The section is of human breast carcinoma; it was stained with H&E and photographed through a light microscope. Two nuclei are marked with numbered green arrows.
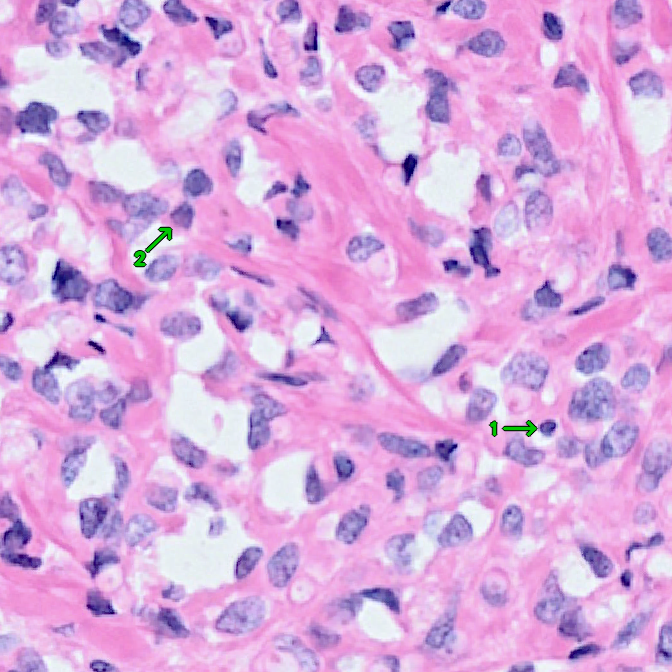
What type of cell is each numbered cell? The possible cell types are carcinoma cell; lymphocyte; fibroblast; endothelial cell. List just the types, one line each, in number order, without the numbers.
lymphocyte
carcinoma cell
